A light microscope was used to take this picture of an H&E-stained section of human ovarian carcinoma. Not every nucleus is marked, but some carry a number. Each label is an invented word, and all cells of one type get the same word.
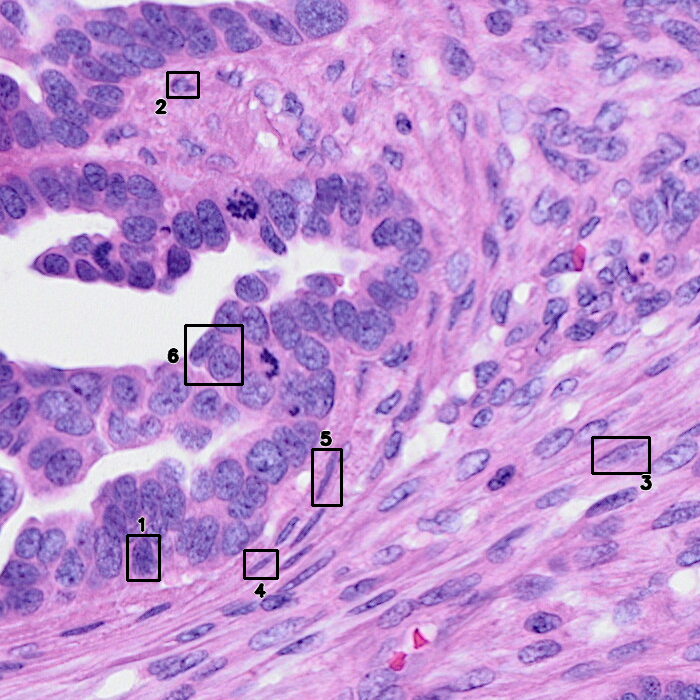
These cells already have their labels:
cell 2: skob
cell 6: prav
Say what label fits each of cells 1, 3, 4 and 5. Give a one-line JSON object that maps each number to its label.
{"1": "prav", "3": "skob", "4": "skob", "5": "skob"}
